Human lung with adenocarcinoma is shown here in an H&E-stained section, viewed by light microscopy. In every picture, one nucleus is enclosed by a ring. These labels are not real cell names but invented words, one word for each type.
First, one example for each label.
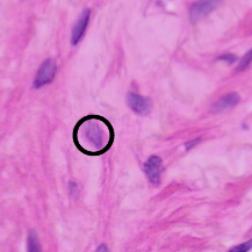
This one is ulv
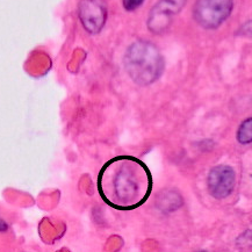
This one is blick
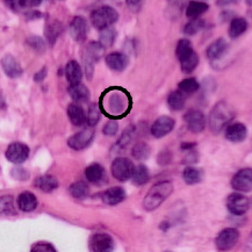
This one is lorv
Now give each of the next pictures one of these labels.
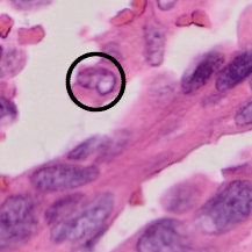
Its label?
blick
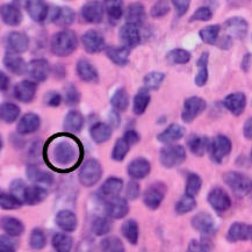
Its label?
lorv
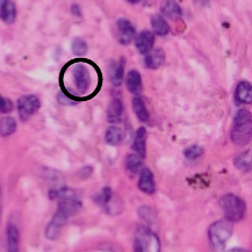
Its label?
lorv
